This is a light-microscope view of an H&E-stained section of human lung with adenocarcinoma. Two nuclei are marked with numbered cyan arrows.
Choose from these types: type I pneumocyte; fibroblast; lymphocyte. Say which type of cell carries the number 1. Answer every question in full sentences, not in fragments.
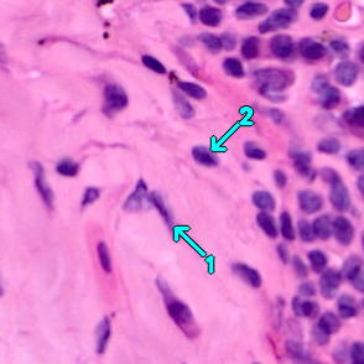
The cell carrying label 1 is identified as a fibroblast.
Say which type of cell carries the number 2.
Number 2 among the marked cells is a lymphocyte.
